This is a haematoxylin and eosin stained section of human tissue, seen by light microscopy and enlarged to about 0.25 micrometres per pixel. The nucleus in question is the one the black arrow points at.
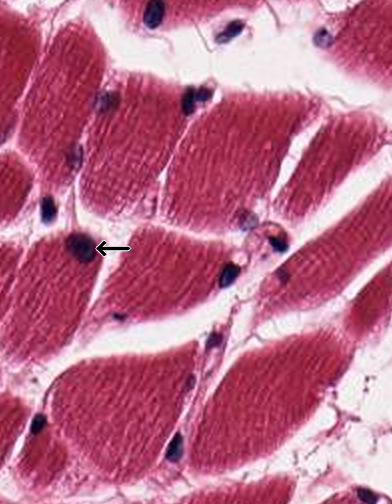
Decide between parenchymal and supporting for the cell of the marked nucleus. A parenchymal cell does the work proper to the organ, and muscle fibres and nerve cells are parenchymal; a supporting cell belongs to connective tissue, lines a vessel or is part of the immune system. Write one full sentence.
The marked nucleus is enclosed by a parenchymal cell, namely a skeletal muscle fibre.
